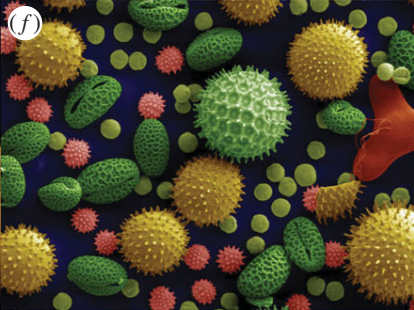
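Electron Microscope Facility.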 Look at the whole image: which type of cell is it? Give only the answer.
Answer: Pollen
